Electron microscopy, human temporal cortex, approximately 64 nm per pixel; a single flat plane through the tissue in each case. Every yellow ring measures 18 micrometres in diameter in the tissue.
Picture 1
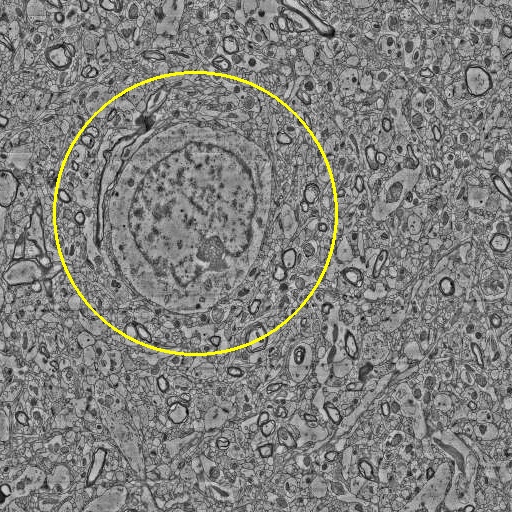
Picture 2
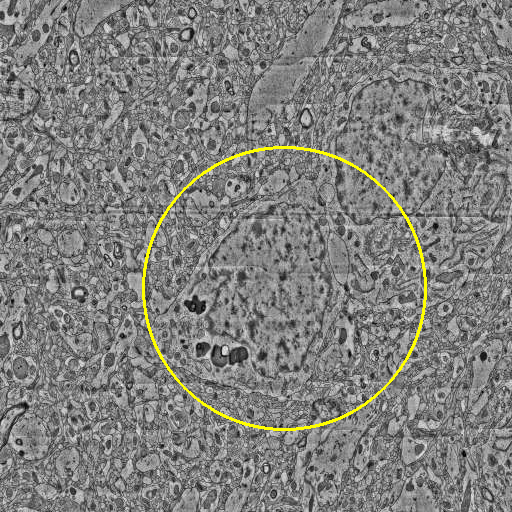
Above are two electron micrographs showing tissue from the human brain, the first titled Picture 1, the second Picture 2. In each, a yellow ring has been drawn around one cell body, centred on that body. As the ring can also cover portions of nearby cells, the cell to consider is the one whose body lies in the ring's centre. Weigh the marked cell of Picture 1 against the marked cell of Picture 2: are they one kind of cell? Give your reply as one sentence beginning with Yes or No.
Yes, the two cells sitting at the ring centres in the pictures are of one kind.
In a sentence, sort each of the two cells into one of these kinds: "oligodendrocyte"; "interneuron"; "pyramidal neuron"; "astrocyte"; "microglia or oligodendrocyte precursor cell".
Each of the two rings is centred on an interneuron.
